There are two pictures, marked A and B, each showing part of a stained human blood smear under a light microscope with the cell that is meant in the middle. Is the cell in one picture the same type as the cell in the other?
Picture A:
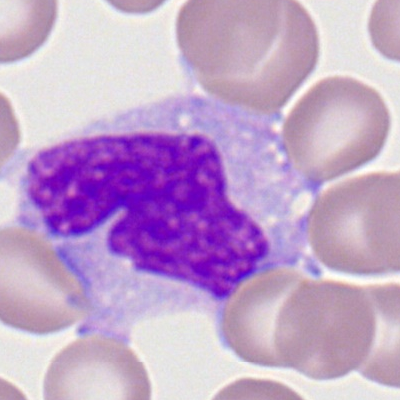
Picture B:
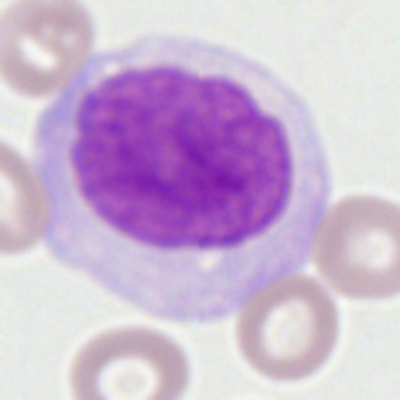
yes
